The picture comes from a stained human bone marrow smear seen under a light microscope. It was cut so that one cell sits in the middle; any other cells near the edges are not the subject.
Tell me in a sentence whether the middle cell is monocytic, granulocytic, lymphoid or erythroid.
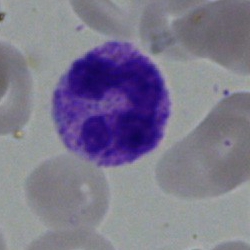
The cell at the center belongs, by lineage, to the granulocytic line.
